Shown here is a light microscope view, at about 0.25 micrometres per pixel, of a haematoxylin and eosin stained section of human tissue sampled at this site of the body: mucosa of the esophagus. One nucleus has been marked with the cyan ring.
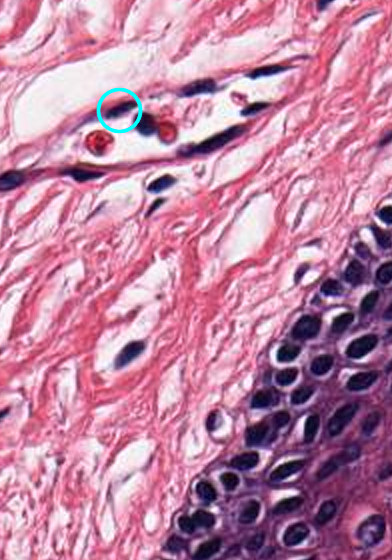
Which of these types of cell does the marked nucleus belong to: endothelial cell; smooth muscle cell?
endothelial cell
